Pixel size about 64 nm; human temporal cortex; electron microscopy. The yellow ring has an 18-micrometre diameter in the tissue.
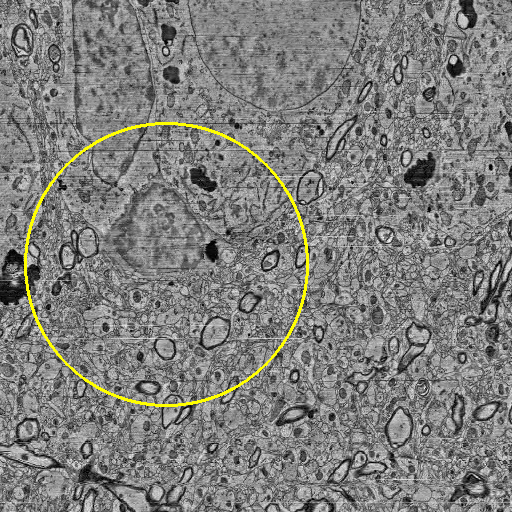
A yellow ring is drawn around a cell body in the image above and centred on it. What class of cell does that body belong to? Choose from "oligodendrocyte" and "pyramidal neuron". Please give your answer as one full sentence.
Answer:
The yellow ring above is centred on the cell body of an oligodendrocyte.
